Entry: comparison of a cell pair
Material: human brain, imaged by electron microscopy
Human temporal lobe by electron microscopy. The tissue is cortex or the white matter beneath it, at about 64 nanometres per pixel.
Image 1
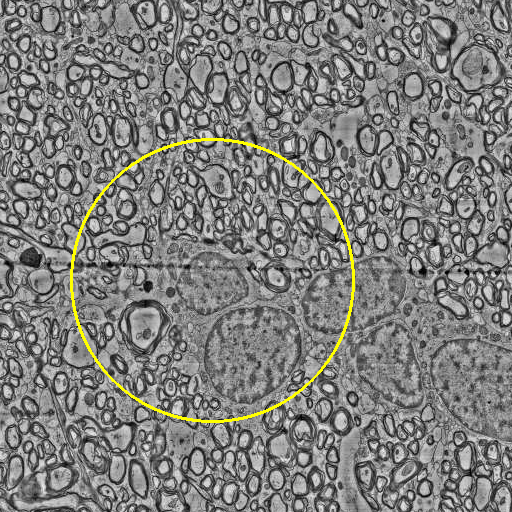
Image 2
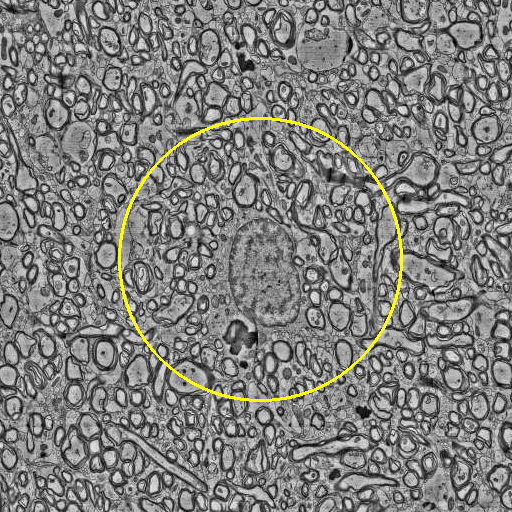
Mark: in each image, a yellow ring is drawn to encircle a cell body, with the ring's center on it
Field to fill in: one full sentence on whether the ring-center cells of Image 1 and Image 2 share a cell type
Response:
Yes, Image 1 and Image 2 each show a ring-center cell of one shared type.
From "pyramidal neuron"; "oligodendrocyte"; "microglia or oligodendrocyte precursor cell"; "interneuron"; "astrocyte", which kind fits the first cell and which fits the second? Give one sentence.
The cell at the ring centre is an oligodendrocyte in both pictures.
